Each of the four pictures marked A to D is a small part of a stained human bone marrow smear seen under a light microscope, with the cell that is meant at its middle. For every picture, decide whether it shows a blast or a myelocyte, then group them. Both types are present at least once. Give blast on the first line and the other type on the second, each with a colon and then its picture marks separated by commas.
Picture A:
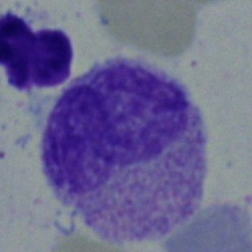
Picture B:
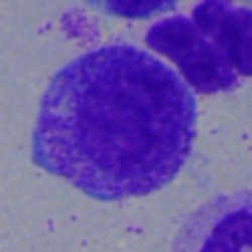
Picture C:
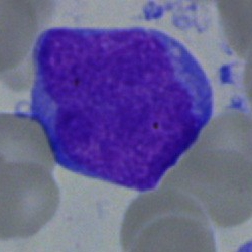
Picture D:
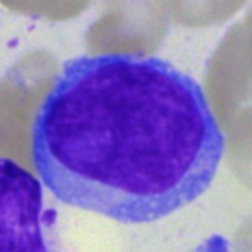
blast: C, D
myelocyte: A, B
